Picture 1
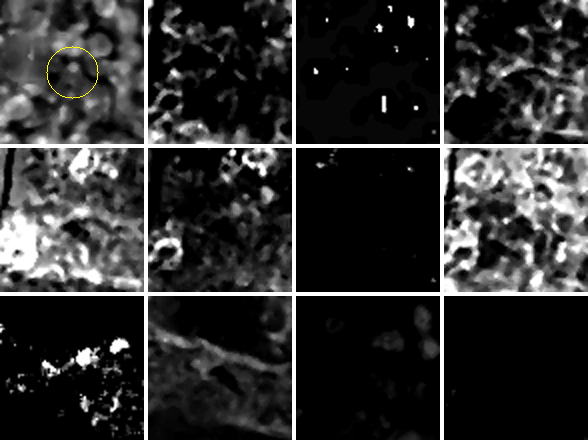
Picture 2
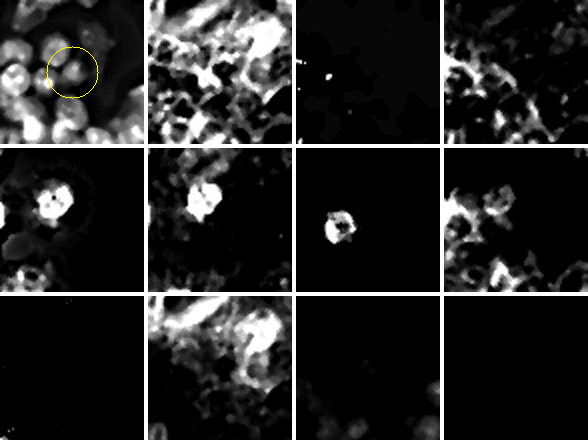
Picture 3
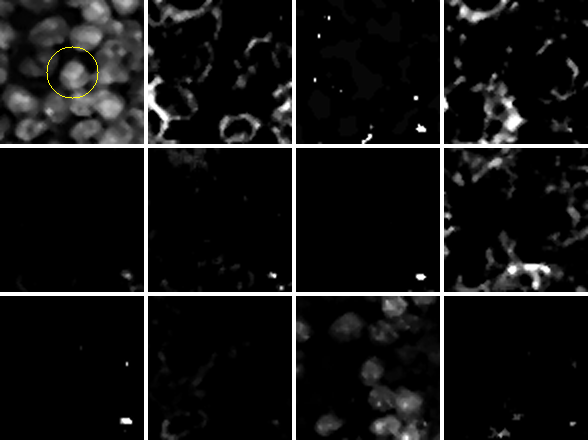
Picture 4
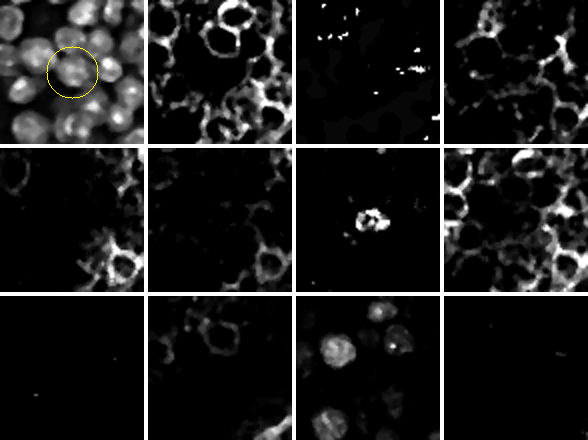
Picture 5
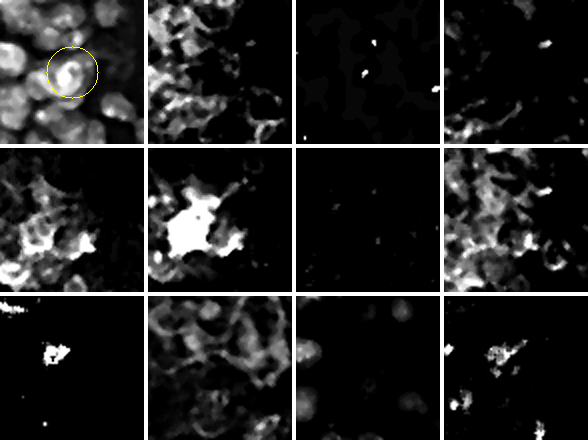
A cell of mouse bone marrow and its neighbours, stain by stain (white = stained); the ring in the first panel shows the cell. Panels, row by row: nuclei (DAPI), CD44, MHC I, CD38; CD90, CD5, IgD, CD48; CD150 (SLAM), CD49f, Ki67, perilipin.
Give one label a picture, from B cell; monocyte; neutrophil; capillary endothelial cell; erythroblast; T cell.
Picture 1: capillary endothelial cell
Picture 2: neutrophil
Picture 3: erythroblast
Picture 4: B cell
Picture 5: T cell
